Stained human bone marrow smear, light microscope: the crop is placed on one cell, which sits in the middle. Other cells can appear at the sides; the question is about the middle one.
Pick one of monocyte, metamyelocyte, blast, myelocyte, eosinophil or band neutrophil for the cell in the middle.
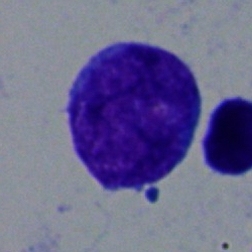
blast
